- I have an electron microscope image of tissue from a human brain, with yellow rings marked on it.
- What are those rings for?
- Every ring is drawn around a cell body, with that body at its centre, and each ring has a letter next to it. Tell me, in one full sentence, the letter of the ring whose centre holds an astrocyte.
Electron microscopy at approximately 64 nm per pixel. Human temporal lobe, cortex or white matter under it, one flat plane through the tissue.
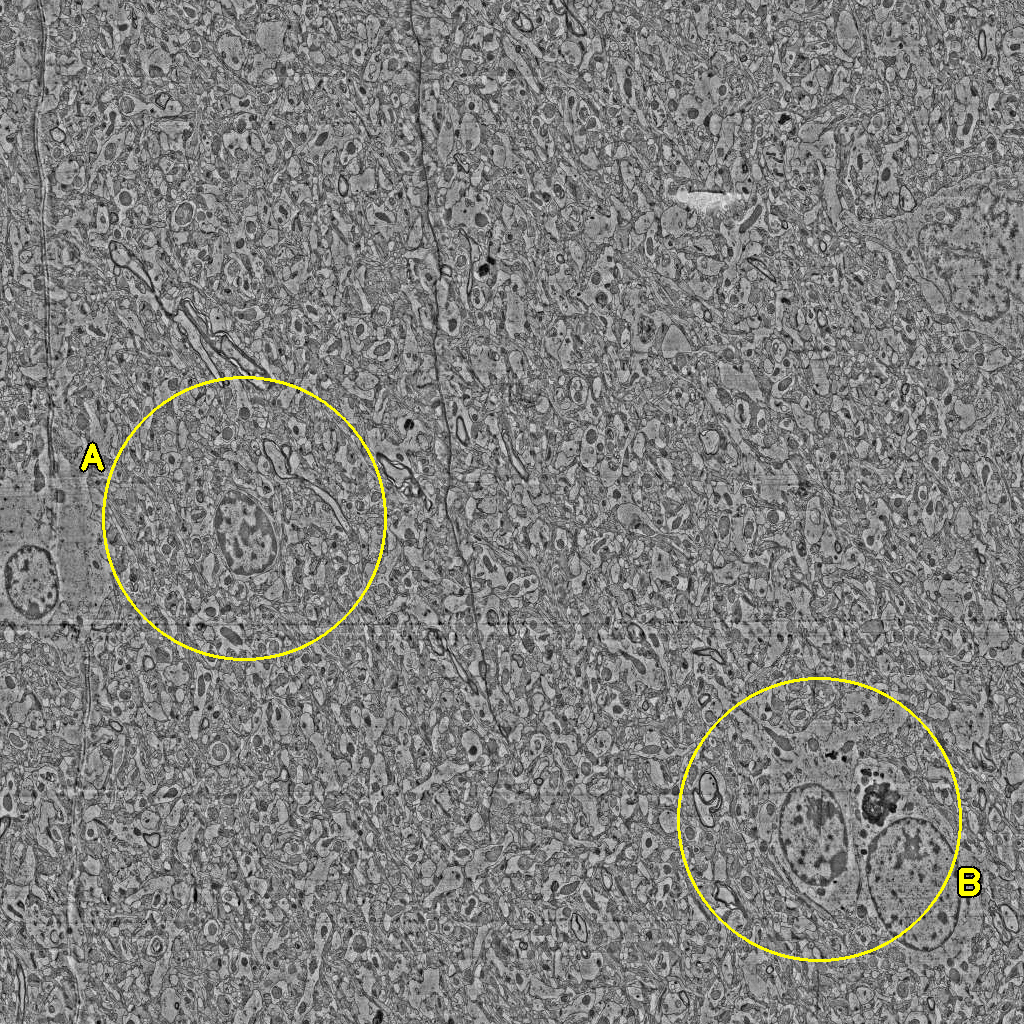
In the picture, the cell asked for sits at the centre of ring B.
